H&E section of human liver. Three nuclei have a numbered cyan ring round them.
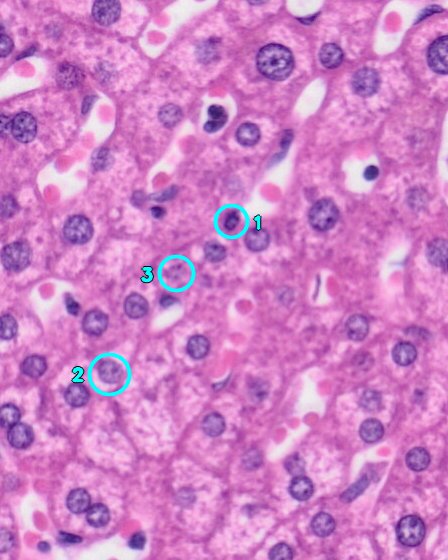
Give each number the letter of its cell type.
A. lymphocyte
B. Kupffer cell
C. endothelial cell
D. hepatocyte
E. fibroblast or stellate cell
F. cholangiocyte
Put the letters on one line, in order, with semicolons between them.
E; D; D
